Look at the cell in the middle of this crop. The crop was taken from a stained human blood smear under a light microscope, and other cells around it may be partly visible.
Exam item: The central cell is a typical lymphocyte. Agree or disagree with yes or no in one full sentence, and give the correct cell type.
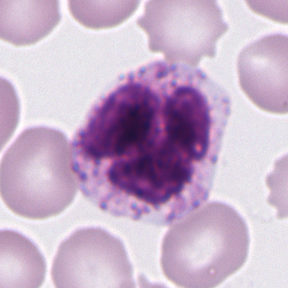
No, the middle one is a basophil rather than a typical lymphocyte.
